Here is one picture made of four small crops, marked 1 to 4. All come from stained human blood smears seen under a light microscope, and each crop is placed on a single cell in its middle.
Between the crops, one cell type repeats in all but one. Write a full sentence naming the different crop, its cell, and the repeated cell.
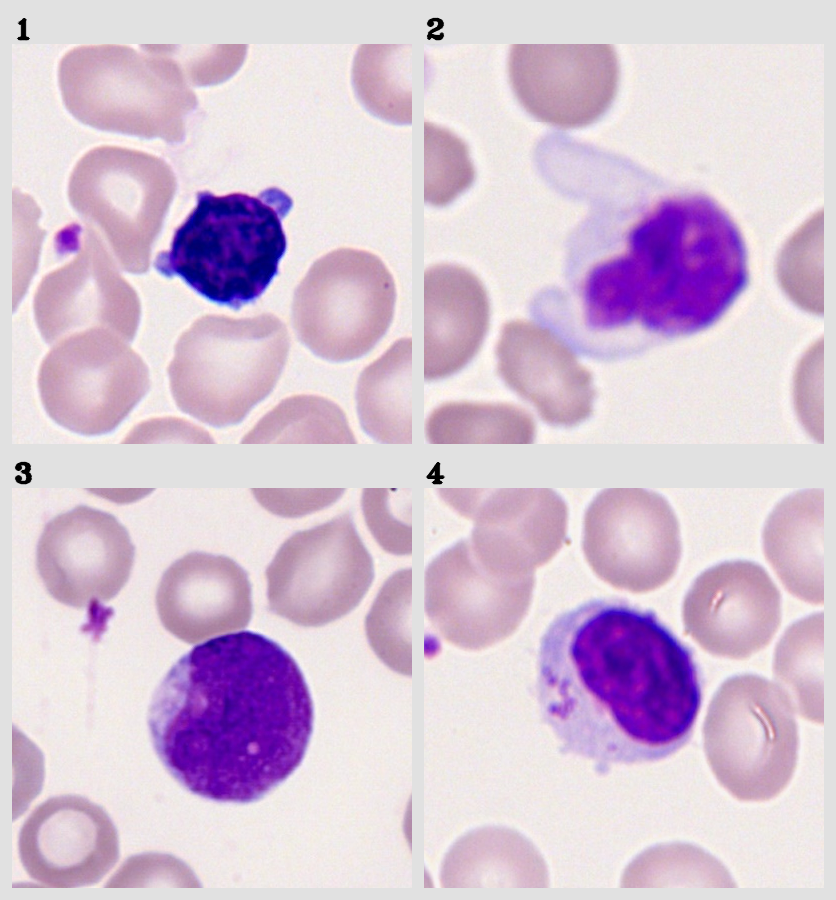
Where the others show lymphocytes, crop 3 shows a blast.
